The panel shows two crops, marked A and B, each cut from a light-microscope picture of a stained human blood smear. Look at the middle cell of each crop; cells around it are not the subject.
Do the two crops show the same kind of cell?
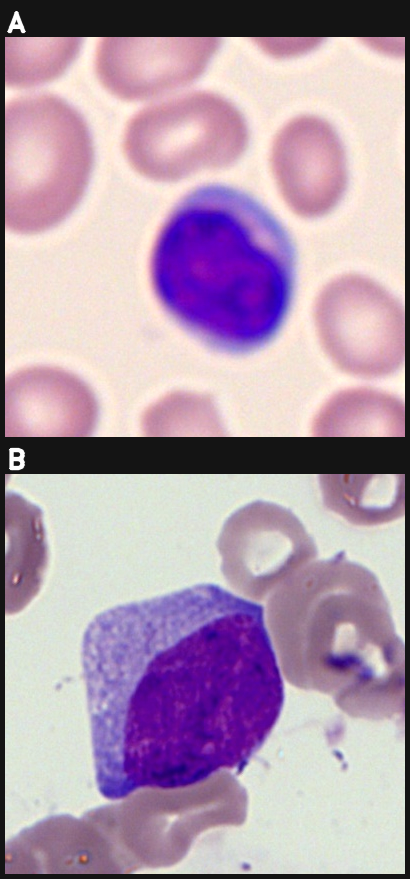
no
